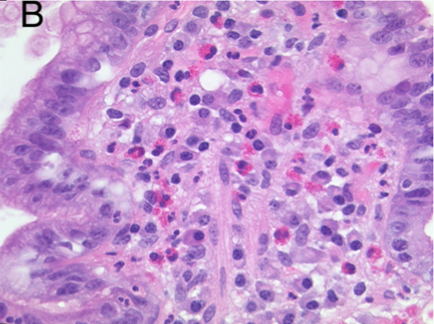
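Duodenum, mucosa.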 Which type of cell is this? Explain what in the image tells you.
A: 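Many cells in the stroma have cytoplasm packed with bright red-orange granules. Several of these cells have lobed dark nuclei. The granular red cells lie crowded beneath a columnar epithelium.
Conclusion: eosinophils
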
